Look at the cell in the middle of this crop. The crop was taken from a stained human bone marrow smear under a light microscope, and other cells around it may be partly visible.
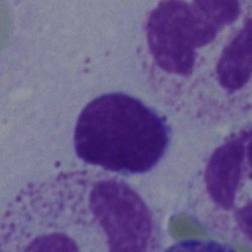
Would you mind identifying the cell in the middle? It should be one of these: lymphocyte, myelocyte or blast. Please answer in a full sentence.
To answer, the cell in the center of the crop is a lymphocyte.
